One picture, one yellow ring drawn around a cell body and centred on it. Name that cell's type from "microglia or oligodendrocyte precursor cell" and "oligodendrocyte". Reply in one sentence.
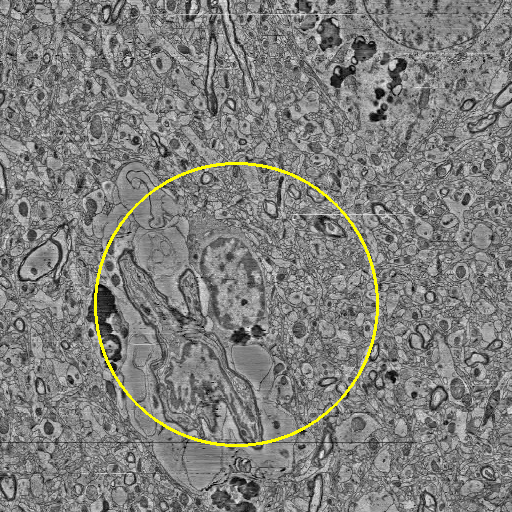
Centred in the ring is an oligodendrocyte.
